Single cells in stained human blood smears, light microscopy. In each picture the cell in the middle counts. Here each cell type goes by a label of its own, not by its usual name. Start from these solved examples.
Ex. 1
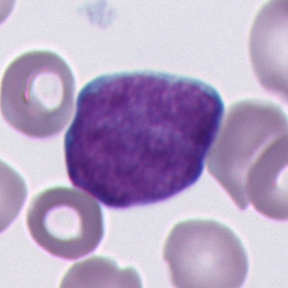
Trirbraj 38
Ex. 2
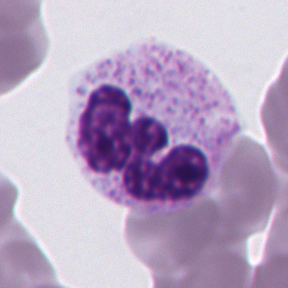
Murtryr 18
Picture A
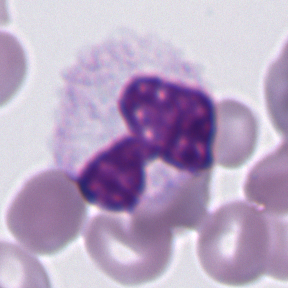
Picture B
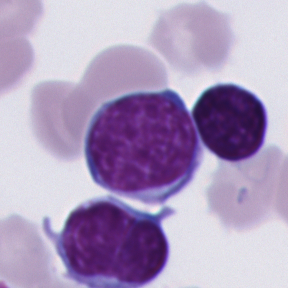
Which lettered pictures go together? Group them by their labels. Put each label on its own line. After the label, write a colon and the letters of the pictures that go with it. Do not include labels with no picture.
Trirbraj 38: B
Murtryr 18: A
